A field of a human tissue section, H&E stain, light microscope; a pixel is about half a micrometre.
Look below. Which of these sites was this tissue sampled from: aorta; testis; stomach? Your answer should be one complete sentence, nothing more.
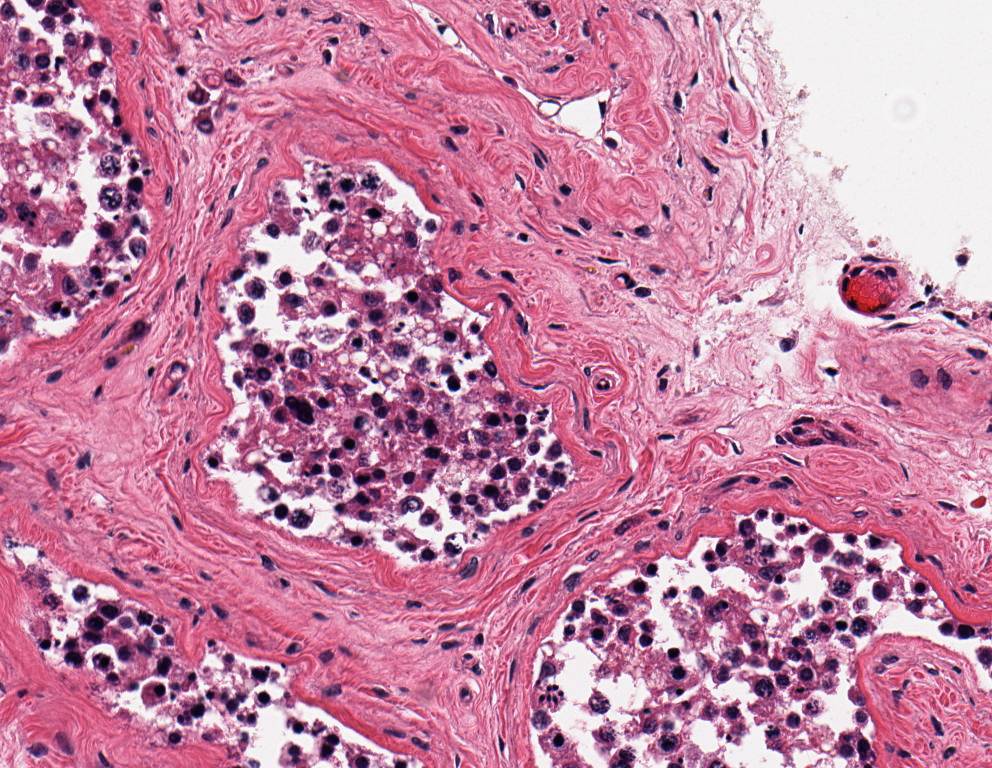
This tissue specimen derives from the testis.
